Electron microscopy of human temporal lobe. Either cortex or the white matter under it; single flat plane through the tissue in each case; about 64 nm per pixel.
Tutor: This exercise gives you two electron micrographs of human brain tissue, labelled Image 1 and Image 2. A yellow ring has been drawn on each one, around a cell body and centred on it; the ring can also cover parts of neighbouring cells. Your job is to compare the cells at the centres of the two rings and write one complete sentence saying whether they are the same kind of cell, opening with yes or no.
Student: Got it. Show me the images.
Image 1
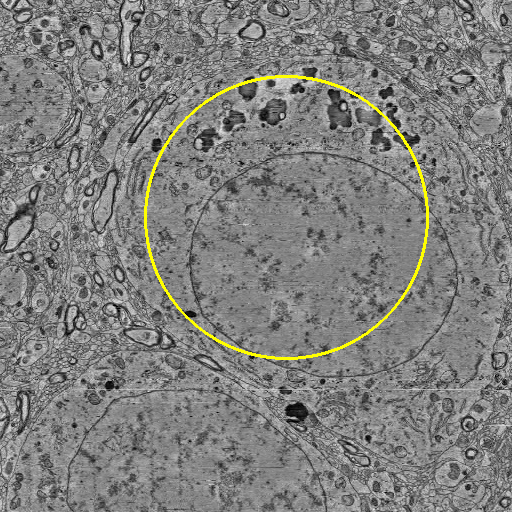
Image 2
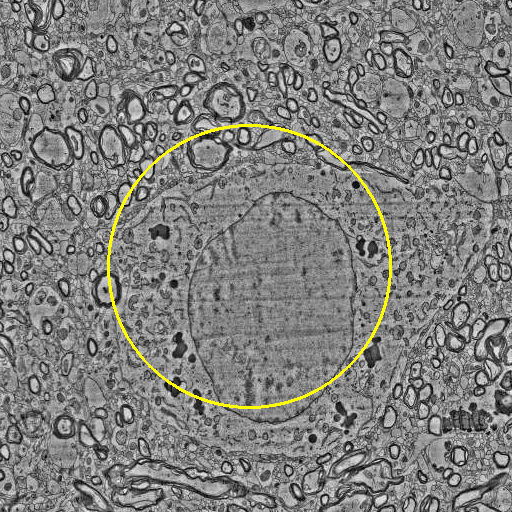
Yes, the two cells belong to the same kind.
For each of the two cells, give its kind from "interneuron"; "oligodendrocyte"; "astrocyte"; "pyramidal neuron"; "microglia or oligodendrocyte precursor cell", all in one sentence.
The ring centre holds a pyramidal neuron in each of the two pictures.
